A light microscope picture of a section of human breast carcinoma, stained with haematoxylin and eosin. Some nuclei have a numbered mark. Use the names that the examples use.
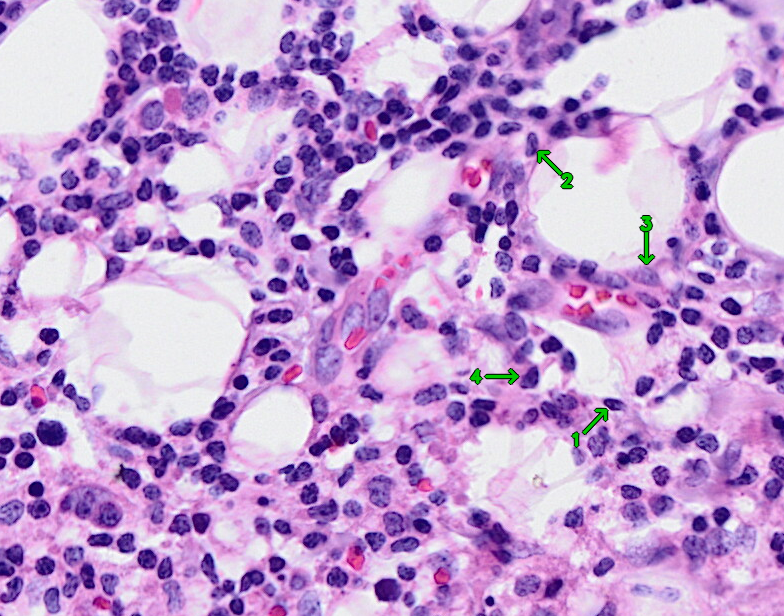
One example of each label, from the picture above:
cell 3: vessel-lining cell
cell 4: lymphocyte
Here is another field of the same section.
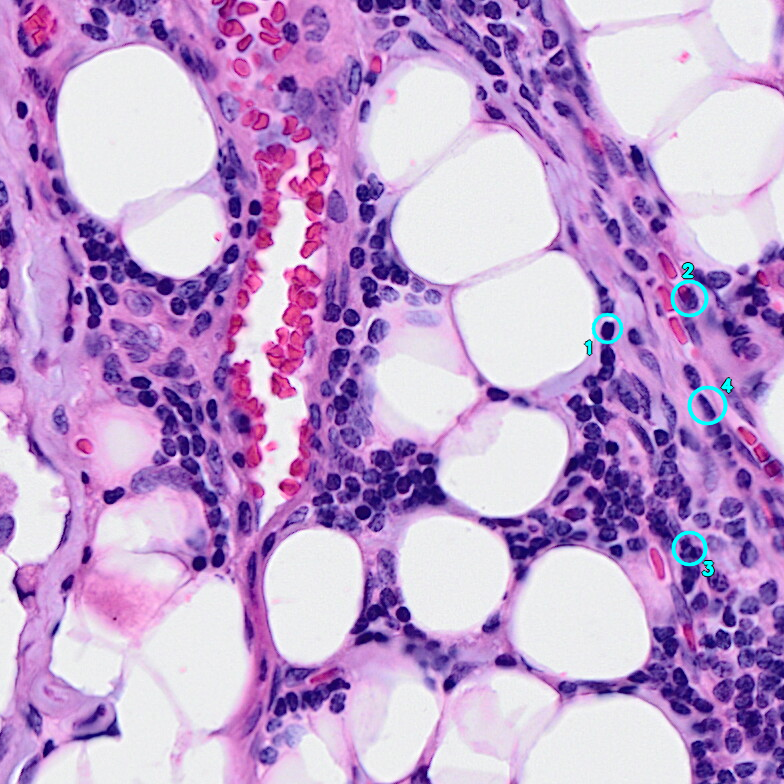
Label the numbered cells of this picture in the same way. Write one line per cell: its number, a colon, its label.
1: lymphocyte
2: vessel-lining cell
3: lymphocyte
4: lymphocyte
